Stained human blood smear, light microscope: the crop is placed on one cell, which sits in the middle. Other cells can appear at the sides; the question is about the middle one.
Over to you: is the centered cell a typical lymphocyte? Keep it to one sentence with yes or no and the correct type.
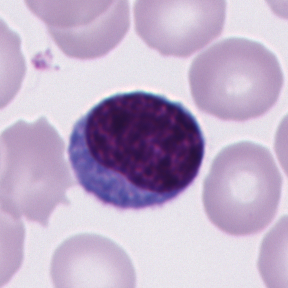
Yes, this is a typical lymphocyte, the cell in the middle of the crop.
